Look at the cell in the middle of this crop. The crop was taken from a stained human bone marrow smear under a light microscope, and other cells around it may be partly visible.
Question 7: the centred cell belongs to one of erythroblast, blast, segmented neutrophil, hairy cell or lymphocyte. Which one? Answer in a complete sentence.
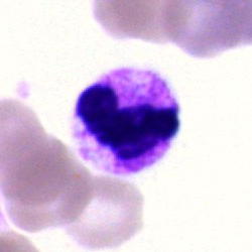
The cell in the middle of the field of view is a segmented neutrophil.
